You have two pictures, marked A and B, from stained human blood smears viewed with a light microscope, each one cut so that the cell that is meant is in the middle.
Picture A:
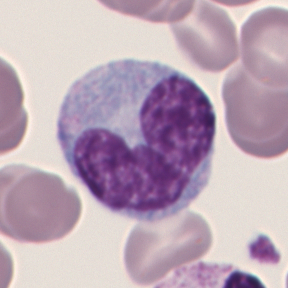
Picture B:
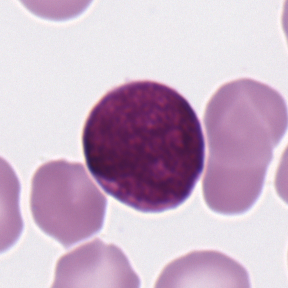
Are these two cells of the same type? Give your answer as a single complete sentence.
No, picture A shows a monocyte and picture B shows a myeloblast.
